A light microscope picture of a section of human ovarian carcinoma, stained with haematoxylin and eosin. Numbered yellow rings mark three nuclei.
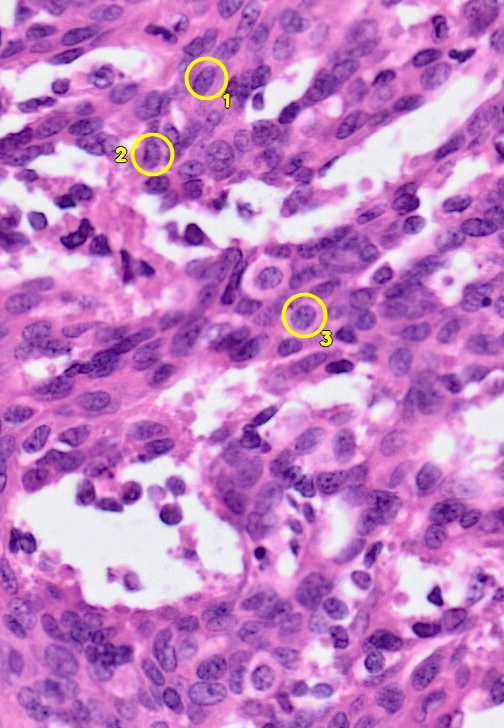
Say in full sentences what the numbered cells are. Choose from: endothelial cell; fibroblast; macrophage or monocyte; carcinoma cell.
Cell 1 is a carcinoma cell, cell 2 is a carcinoma cell and cell 3 is a macrophage or monocyte.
